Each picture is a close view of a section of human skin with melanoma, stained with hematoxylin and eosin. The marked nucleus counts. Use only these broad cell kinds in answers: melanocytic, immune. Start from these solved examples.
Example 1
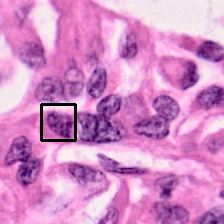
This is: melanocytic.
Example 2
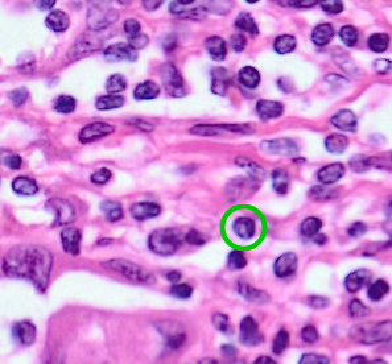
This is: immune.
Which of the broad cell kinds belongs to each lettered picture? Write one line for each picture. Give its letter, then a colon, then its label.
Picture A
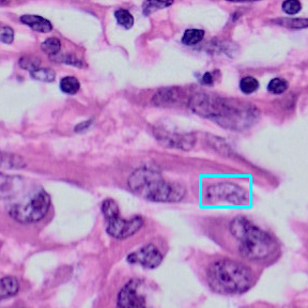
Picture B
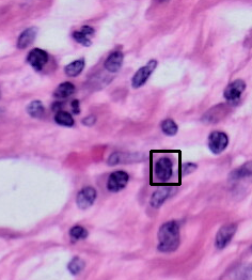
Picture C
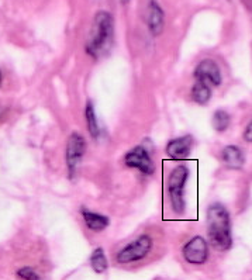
A: melanocytic.
B: immune.
C: immune.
